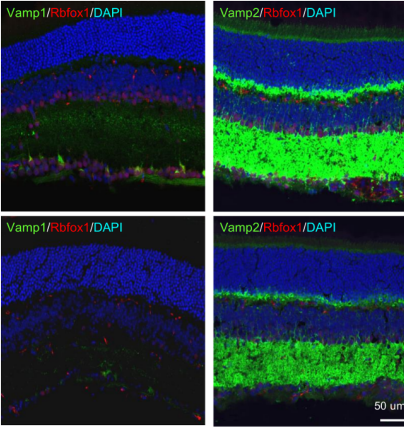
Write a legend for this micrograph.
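Four fluorescence images of cross-sectioned retina show its layers stacked from top to bottom. A thick band of densely packed blue nuclei, the outer nuclear layer, runs across the top of each image. Below it lie a thin band with few nuclei and then a second, narrower band of blue nuclei. In the right-hand images, green fills the thin band between the two nuclear bands and a broad band beneath the second nuclear band, marking the outer and inner plexiform layers. At the bottom, red-stained cell bodies lie scattered in a row. In the upper left image, a few scattered green cells sit near this bottom row.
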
